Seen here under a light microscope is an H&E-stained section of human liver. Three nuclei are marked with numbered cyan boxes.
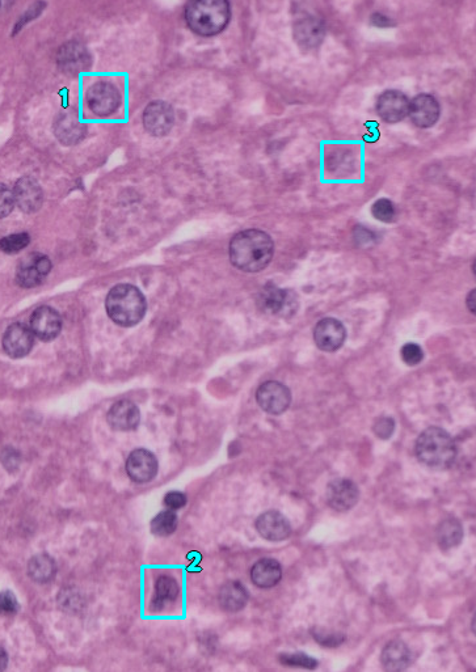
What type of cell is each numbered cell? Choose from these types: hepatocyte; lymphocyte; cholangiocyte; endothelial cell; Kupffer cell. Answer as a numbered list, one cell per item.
1. hepatocyte
2. Kupffer cell
3. hepatocyte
